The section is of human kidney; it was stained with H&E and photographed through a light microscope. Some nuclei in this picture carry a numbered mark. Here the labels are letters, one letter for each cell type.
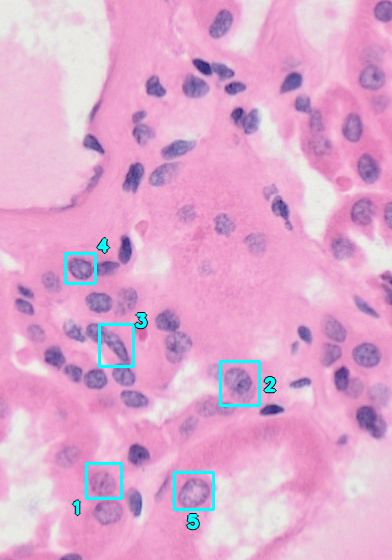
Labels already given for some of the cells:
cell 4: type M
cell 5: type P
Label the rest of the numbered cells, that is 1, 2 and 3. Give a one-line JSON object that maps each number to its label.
{"1": "type P", "2": "type M", "3": "type M"}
